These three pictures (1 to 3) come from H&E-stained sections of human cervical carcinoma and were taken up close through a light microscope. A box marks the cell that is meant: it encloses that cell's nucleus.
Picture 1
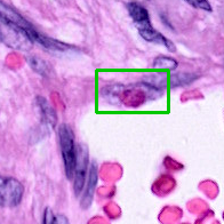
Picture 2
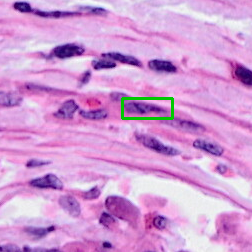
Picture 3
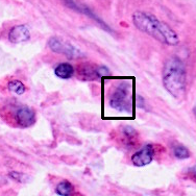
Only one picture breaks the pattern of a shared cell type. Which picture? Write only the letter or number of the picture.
3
